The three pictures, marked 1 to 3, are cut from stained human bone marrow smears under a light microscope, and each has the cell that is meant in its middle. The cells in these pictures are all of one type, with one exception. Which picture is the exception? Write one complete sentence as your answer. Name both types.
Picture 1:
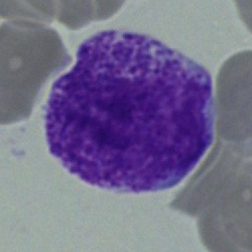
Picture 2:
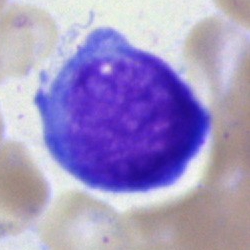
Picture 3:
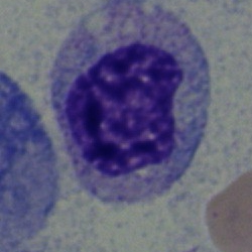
Unlike the rest, which show myelocytes, picture 2 shows a blast.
